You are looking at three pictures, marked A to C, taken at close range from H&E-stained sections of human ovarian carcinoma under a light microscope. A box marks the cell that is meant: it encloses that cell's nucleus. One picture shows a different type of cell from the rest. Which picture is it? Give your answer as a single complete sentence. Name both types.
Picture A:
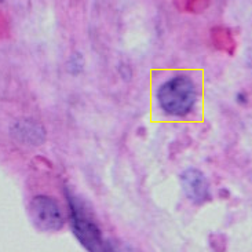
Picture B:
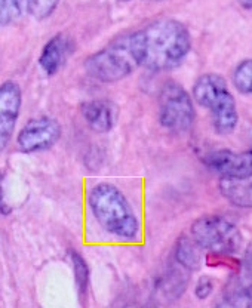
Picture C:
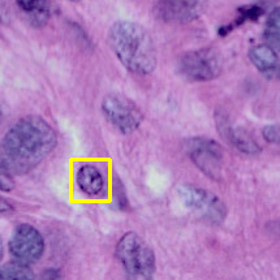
The different one is picture B; it shows a fibroblast, whereas all the others show “macrophages or monocytes”.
